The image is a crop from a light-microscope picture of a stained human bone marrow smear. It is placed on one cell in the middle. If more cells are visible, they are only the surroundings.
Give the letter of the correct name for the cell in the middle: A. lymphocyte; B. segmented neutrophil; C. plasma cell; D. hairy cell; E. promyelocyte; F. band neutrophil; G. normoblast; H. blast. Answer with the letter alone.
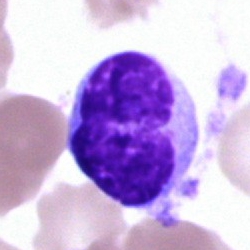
D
